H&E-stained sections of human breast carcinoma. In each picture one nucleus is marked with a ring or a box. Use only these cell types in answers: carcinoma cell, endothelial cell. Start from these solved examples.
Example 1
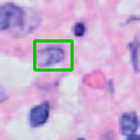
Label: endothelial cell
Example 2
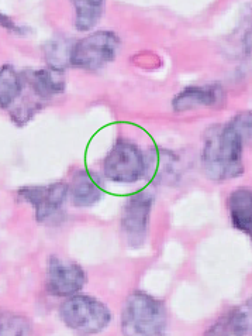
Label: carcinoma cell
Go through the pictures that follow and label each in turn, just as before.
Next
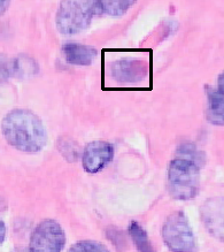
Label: endothelial cell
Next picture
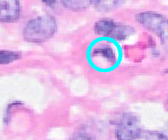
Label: endothelial cell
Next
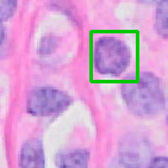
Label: carcinoma cell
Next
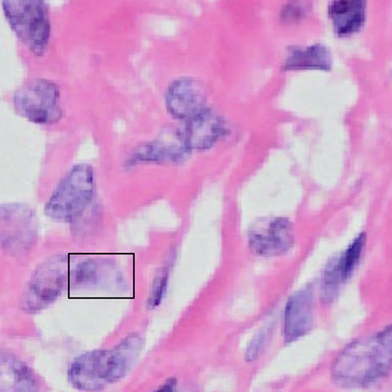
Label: carcinoma cell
